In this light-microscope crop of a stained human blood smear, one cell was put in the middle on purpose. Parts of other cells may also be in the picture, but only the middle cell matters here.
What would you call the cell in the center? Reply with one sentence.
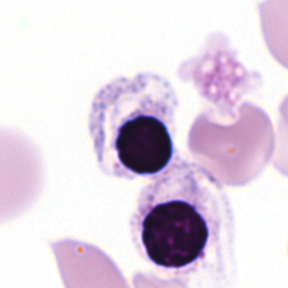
Within this crop, a normoblast occupies the central position.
